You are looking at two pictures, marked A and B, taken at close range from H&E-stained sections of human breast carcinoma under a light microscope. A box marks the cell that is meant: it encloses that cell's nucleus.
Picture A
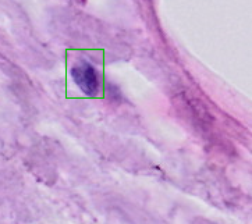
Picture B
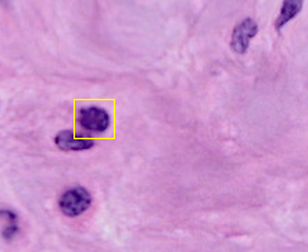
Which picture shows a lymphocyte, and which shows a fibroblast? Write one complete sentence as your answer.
Picture A is of a fibroblast, and picture B is of a lymphocyte.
